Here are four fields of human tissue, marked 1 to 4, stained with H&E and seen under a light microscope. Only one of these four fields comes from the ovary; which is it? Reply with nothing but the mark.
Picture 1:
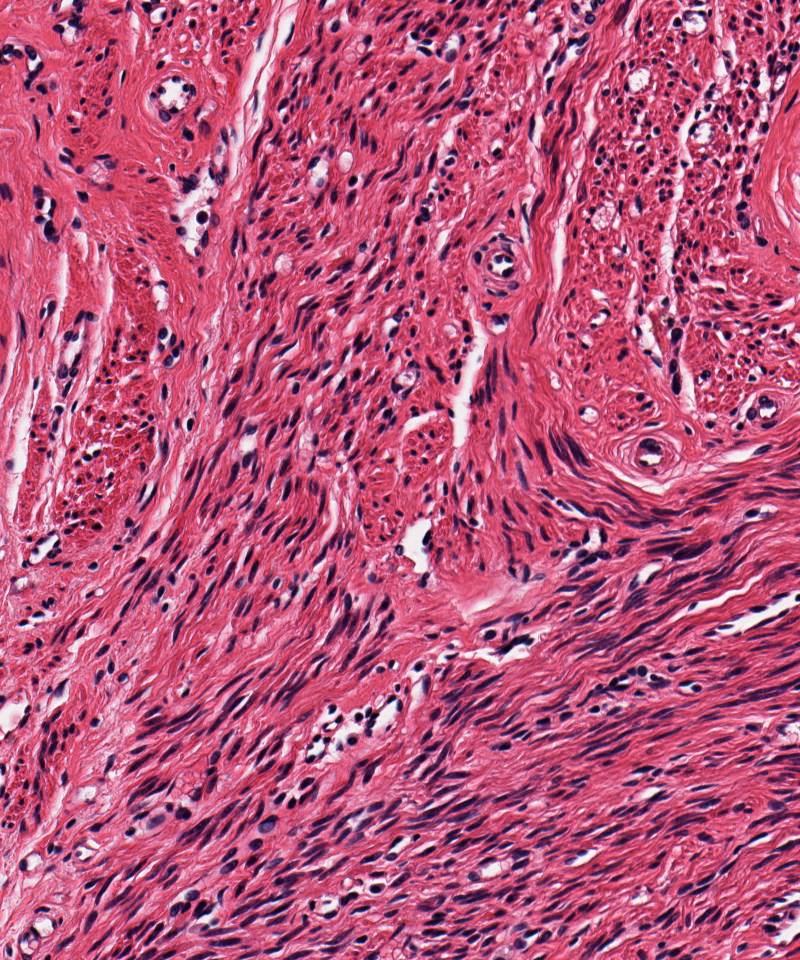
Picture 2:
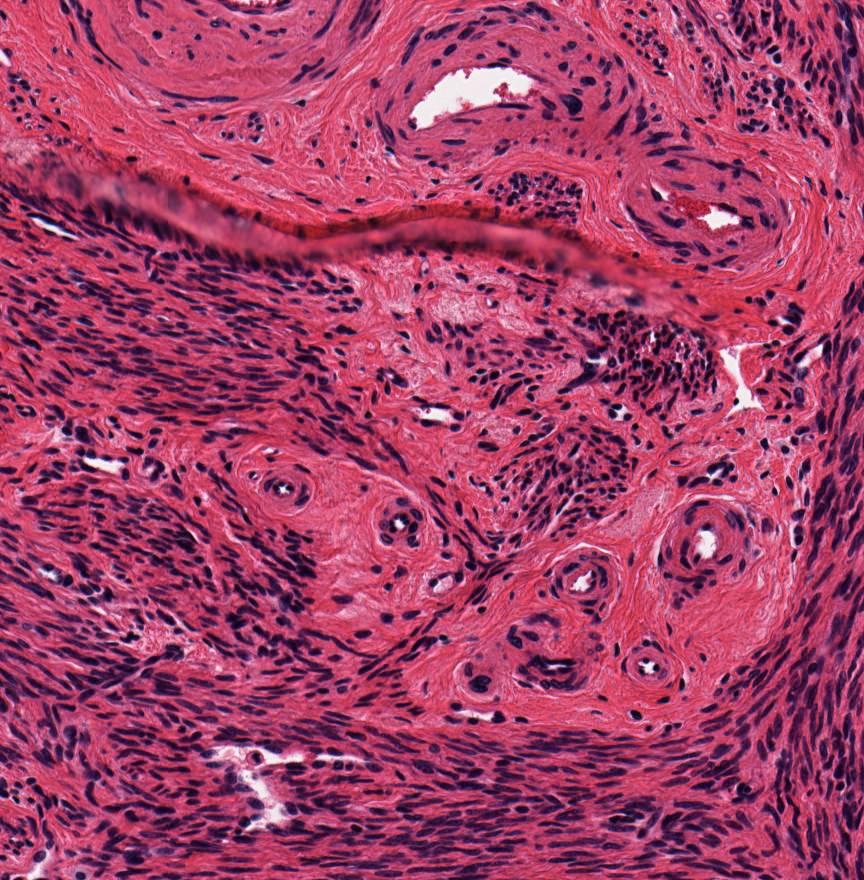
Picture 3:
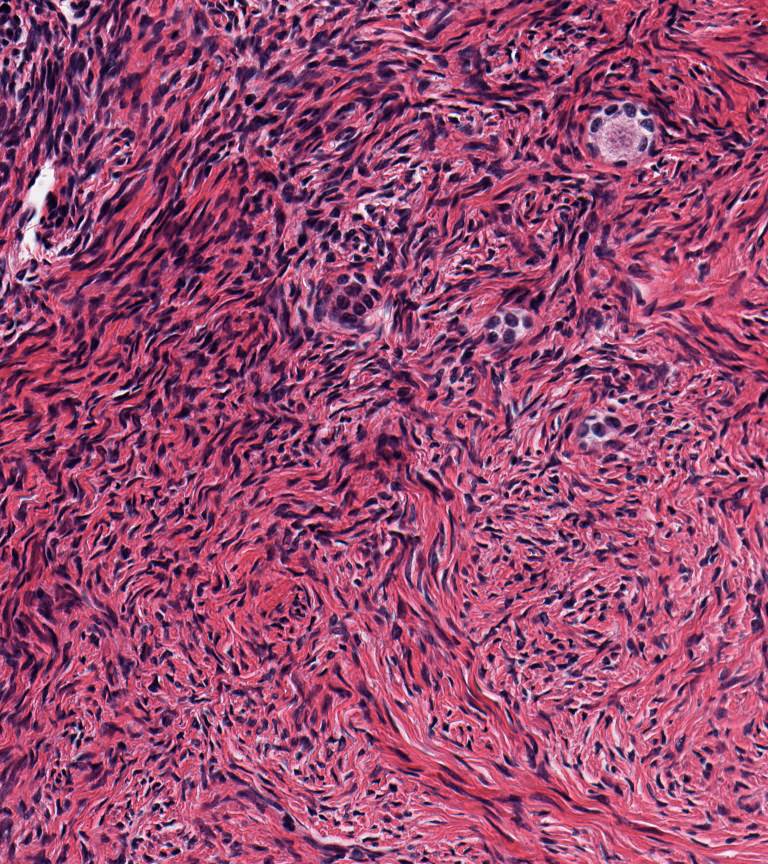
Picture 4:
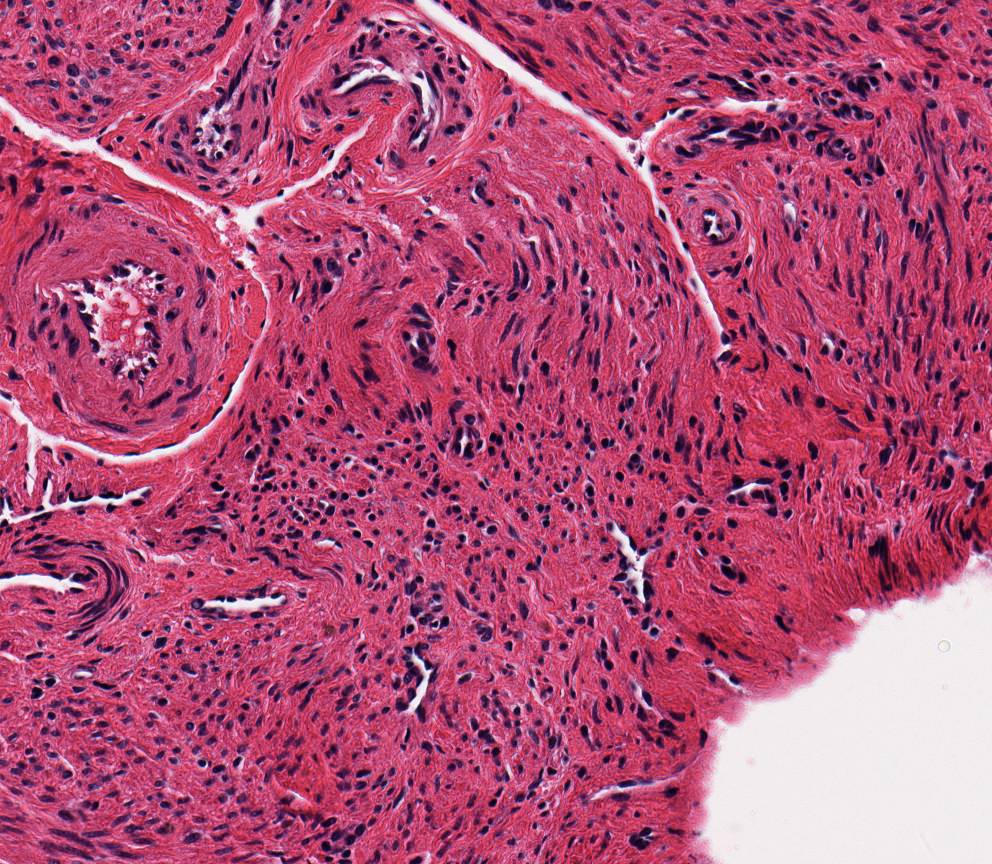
3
